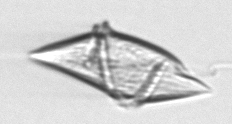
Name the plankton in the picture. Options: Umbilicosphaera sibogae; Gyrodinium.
Gyrodinium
